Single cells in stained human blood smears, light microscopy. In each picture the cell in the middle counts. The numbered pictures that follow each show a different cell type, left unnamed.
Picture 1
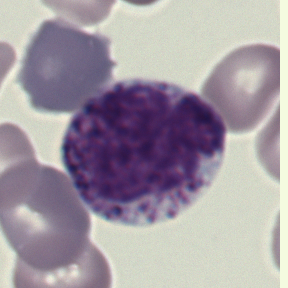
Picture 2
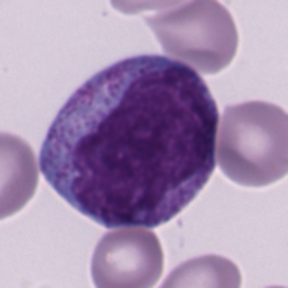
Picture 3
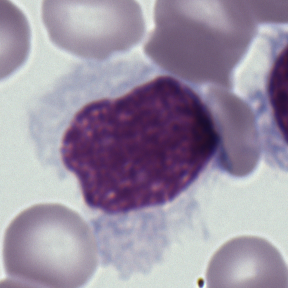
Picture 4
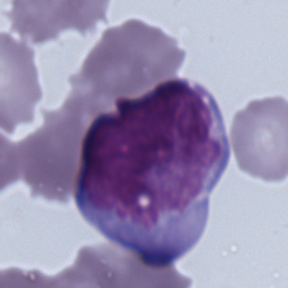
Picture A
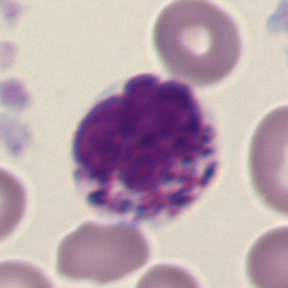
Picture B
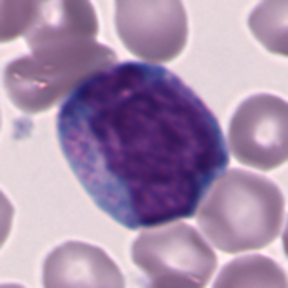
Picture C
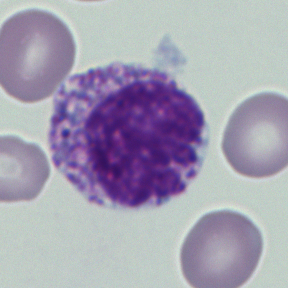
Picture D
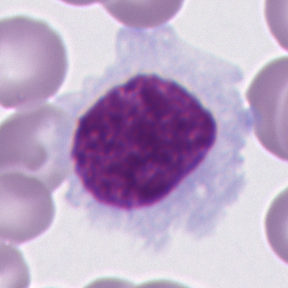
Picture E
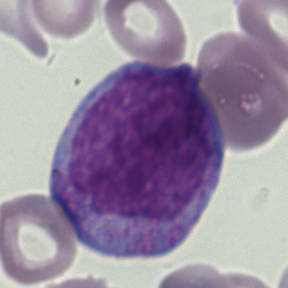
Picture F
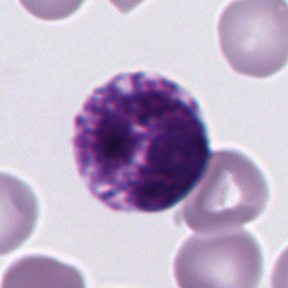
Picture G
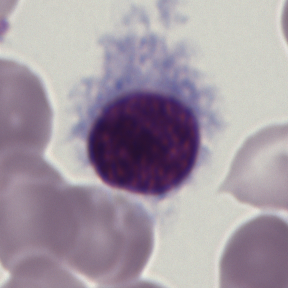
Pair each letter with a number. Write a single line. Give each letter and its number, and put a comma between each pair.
A 1, B 2, C 1, D 3, E 2, F 1, G 3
